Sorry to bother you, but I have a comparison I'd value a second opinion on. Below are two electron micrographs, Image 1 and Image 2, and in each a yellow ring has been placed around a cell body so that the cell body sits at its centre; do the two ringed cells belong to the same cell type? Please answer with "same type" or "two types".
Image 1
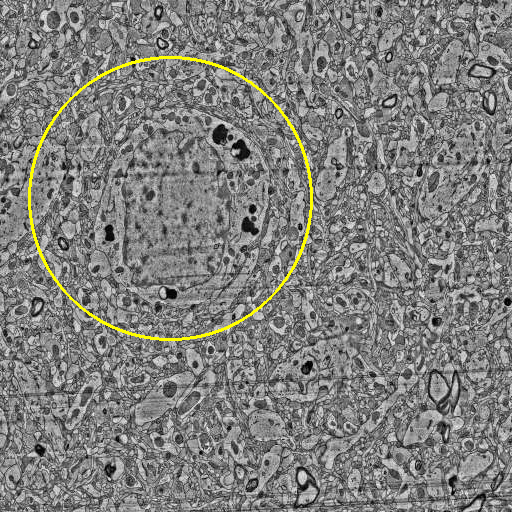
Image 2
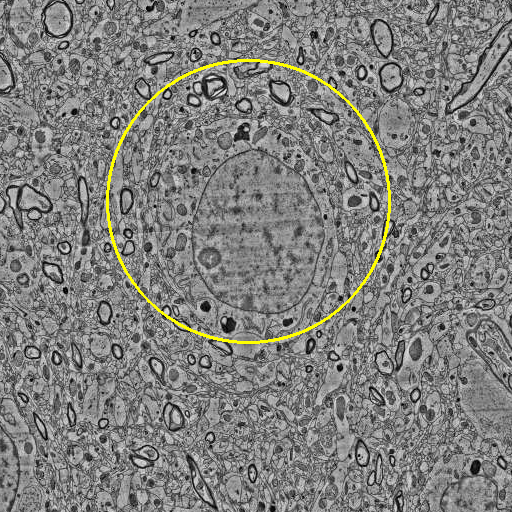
two types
